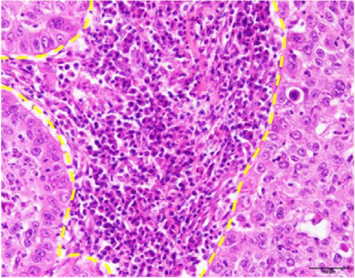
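Tumour tissue with a band of stroma running through it, bounded by a dashed line. Inside the line, the stroma is crowded with small cells with dark, round nuclei and scant cytoplasm, mixed with some elongated spindle nuclei and a few cells with more cytoplasm. The dense small-cell infiltrate contrasts sharply with the pale, large tumour cells on either side.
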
